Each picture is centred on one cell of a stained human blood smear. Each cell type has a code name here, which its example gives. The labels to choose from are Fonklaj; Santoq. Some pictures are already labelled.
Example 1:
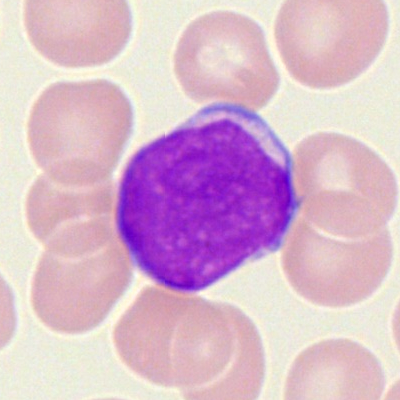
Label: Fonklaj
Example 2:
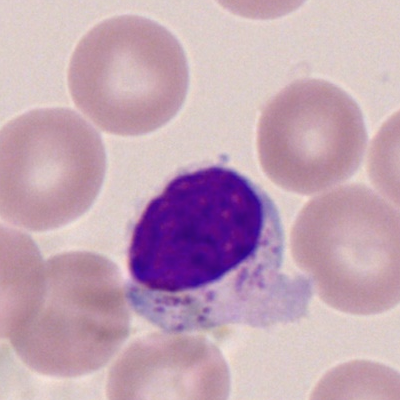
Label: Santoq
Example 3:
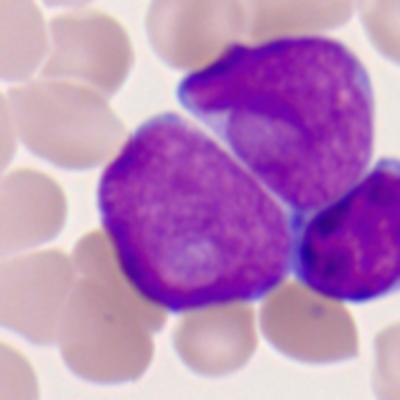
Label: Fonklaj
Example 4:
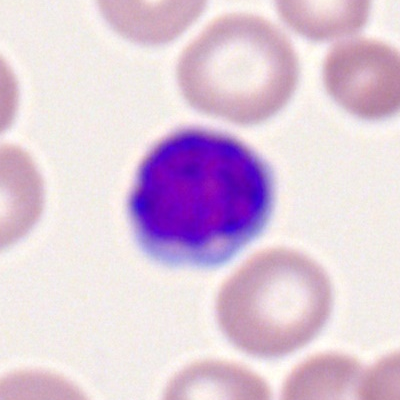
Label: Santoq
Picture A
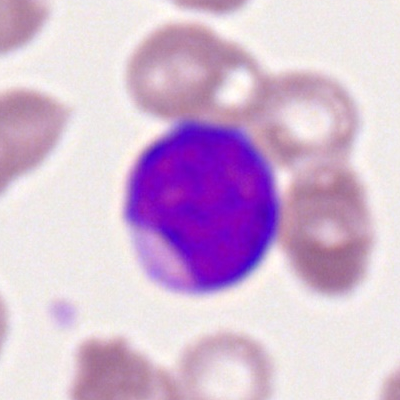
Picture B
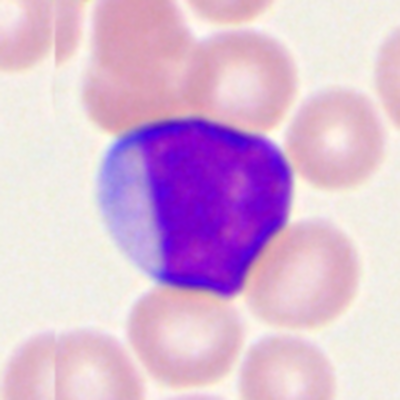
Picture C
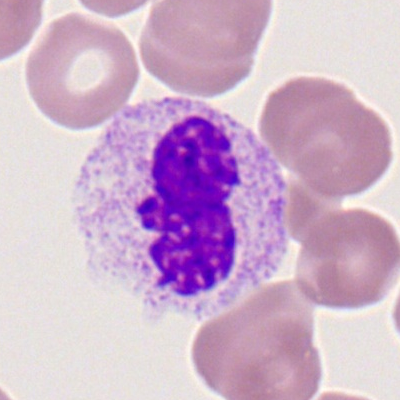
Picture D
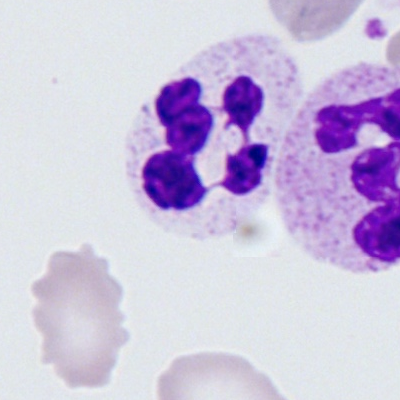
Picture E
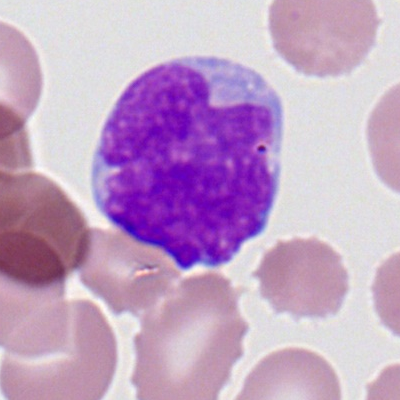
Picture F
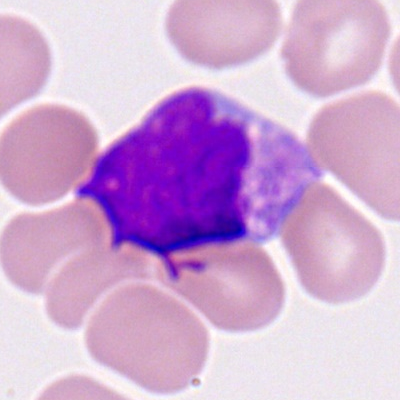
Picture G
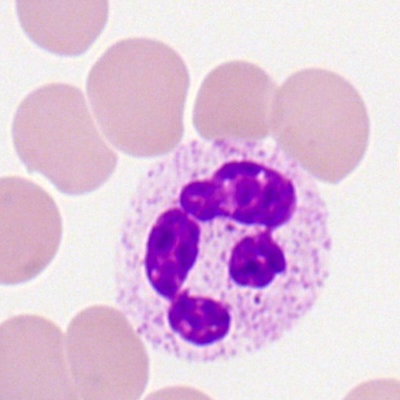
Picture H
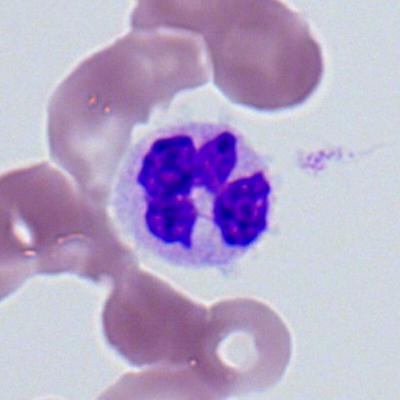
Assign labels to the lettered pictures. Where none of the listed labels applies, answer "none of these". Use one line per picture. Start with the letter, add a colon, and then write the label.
A: Fonklaj
B: Fonklaj
C: none of these
D: none of these
E: Fonklaj
F: Fonklaj
G: none of these
H: none of these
